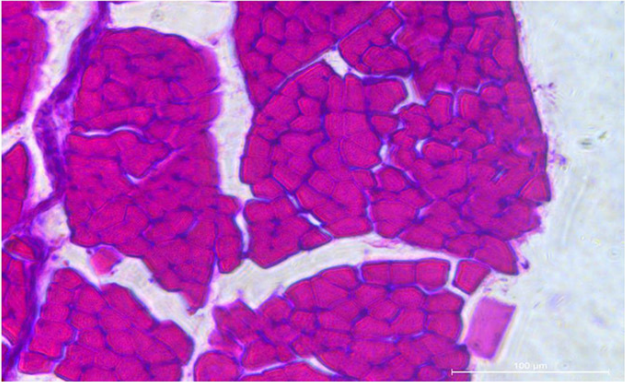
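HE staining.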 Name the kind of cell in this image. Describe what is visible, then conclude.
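Many polygonal pink-magenta profiles are cut in cross section and packed closely together. The profiles are grouped into bundles separated by pale strands of connective tissue. The profiles have thin purple outlines and no central nucleus.
Muscle fibers.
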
